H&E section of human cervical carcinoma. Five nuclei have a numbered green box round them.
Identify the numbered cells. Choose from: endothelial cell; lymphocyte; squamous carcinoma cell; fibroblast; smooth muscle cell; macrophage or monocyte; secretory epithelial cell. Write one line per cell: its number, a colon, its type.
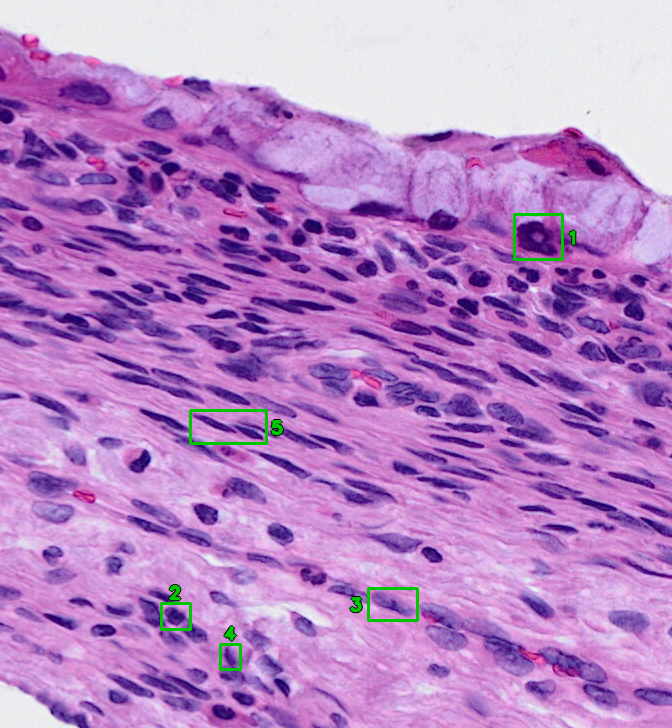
1: secretory epithelial cell
2: lymphocyte
3: endothelial cell
4: fibroblast
5: fibroblast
